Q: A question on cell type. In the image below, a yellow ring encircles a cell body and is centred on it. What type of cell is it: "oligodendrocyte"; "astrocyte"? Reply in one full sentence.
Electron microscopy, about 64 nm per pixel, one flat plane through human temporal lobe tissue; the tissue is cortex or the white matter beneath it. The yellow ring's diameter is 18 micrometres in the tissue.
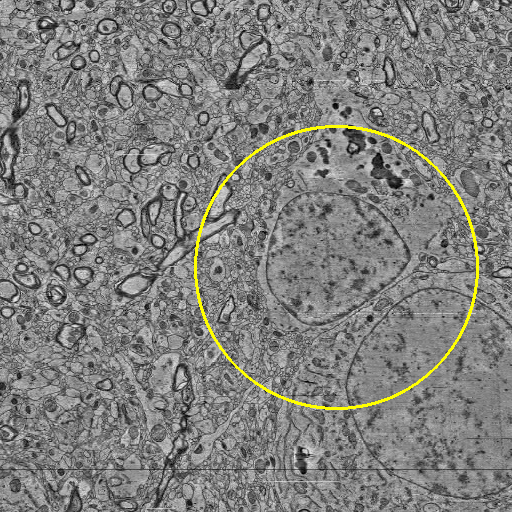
It is an astrocyte whose cell body sits at the centre of the yellow ring in the image.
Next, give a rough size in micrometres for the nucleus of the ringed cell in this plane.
In this plane the nucleus measures roughly 9 micrometres across.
